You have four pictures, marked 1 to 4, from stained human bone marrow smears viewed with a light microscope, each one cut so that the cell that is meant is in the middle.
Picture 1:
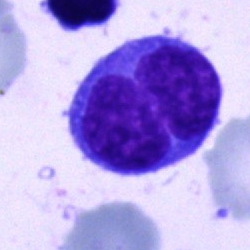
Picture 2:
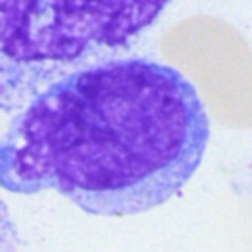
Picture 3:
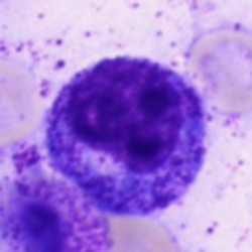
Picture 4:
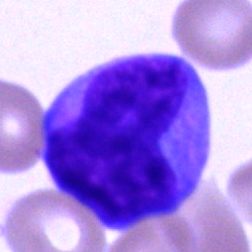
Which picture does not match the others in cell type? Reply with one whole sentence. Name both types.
The different one is picture 3; it shows a promyelocyte, whereas all the others show blasts.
